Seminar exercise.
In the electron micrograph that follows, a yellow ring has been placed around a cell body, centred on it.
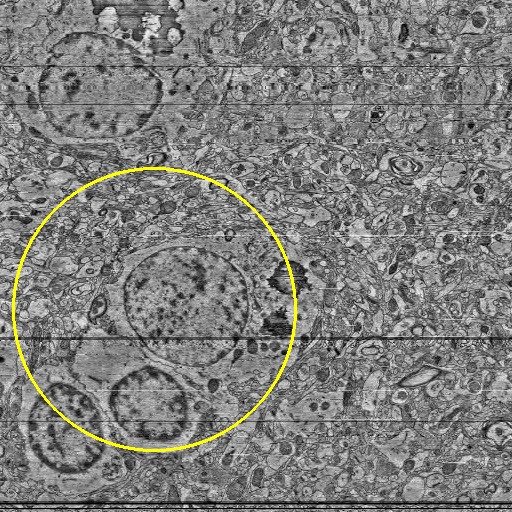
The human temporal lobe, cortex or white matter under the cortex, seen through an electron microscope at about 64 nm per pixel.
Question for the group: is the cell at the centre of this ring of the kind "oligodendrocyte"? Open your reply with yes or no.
No, the cell in the ring's centre is of another kind.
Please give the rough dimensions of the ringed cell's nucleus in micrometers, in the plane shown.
In this plane the ringed cell's nucleus is roughly 8 micrometres across.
